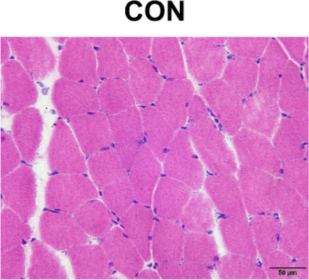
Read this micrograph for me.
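This is a cross-section of skeletal muscle showing myofibres cut transversely. The fibres appear as polygonal, closely packed profiles with uniformly pink cytoplasm. Their nuclei are small, dark purple and flattened, lying at the edge of each fibre rather than in its centre. Thin pale or white gaps separate many of the fibres, with a few larger white clefts between groups of fibres. Fibre profiles vary somewhat in size across the field.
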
